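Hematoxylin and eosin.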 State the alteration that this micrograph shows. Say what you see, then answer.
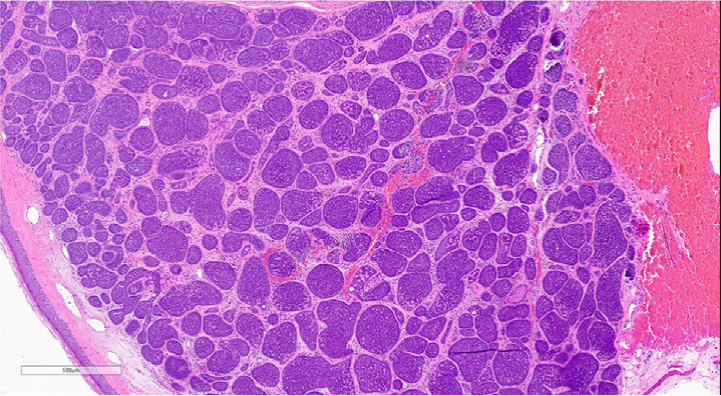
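Jigsaw pattern. The dark purple nests vary in size and shape.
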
